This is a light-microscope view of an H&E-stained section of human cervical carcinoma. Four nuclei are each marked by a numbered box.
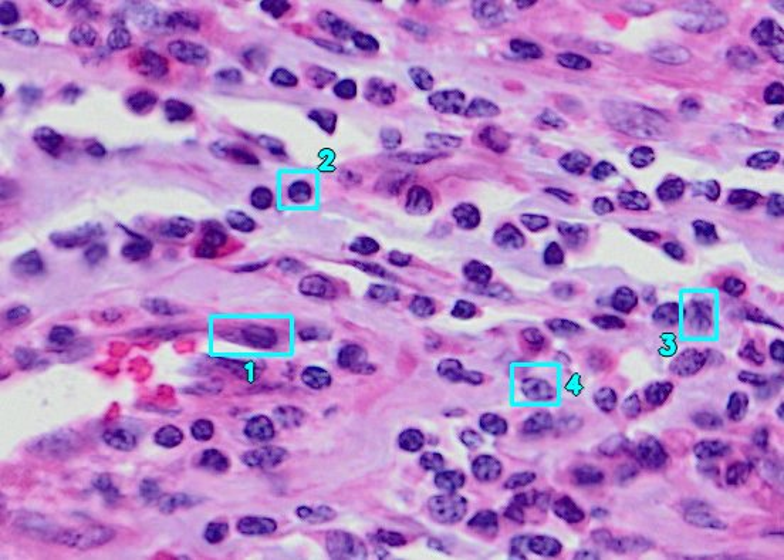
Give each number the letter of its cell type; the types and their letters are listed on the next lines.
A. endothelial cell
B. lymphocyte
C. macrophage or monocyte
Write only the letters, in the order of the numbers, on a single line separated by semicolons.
A; B; B; B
